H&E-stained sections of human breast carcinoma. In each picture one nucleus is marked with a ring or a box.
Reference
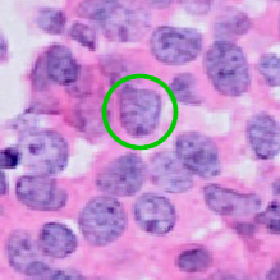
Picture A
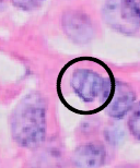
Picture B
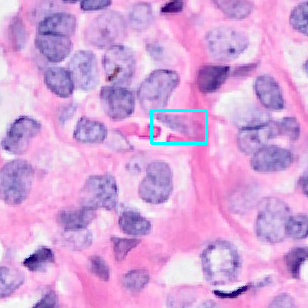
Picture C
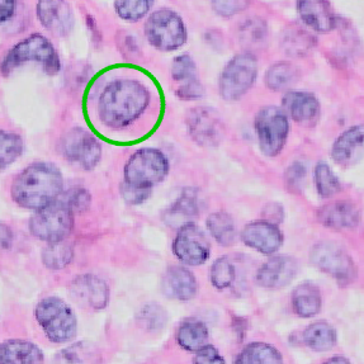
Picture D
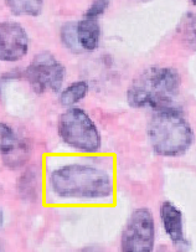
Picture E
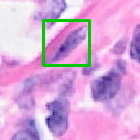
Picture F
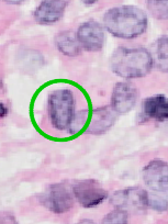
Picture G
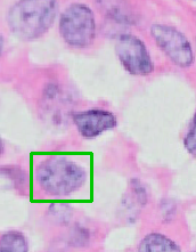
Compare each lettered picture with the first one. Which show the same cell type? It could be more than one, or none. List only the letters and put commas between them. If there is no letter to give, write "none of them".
A, C, D, F, G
